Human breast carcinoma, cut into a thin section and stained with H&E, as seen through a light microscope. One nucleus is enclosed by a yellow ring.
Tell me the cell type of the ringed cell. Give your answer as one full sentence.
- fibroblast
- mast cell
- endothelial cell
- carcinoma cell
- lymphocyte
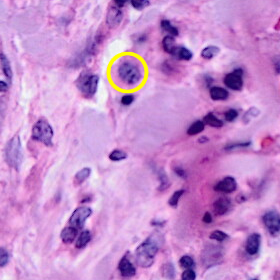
In this preparation, the ringed cell is a mast cell.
